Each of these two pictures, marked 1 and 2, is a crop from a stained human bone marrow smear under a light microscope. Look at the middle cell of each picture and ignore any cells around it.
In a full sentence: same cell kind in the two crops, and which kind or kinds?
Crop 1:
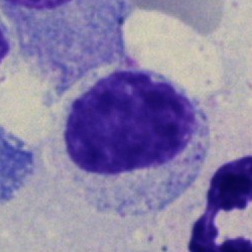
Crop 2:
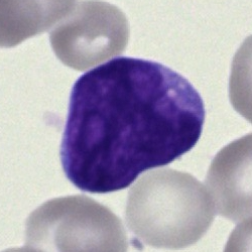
No, crop 1 features a myelocyte, while crop 2 features a blast.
